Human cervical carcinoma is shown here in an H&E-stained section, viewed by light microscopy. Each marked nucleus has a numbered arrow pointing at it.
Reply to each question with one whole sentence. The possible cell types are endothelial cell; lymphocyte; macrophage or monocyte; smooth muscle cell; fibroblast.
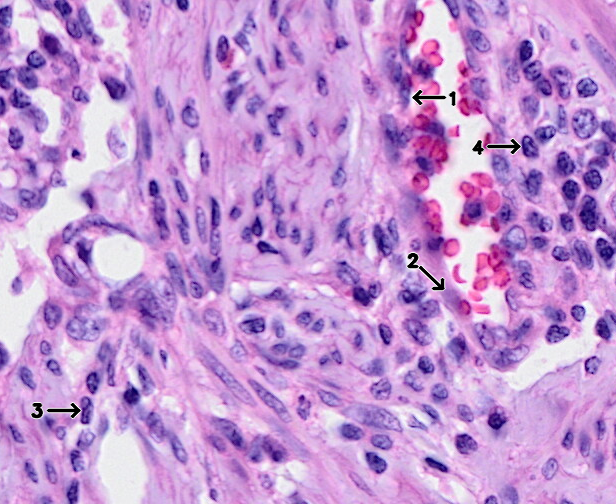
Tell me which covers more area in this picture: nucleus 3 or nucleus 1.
Of the two, number 3 is bigger and takes up about 2 times the area of number 1.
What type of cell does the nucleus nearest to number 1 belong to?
The cell nearest to number 1 is an endothelial cell.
